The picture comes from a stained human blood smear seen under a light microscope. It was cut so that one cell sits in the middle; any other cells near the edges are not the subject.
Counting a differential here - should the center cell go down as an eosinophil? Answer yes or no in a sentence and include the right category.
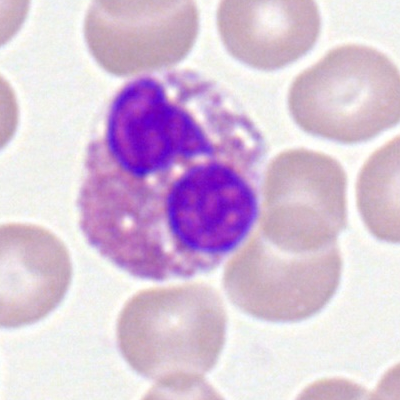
Yes, the middle cell is classified as an eosinophil.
